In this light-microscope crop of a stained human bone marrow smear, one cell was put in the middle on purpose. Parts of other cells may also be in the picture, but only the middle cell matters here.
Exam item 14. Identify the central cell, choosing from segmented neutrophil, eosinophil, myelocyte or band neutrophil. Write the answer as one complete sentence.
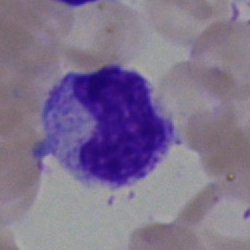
Occupying the centre of the crop is a band neutrophil.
